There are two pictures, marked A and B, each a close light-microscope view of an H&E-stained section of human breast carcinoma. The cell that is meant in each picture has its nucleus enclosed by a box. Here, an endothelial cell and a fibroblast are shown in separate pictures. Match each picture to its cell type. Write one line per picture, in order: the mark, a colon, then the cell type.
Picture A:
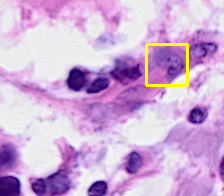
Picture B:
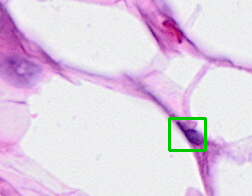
A: endothelial cell
B: fibroblast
